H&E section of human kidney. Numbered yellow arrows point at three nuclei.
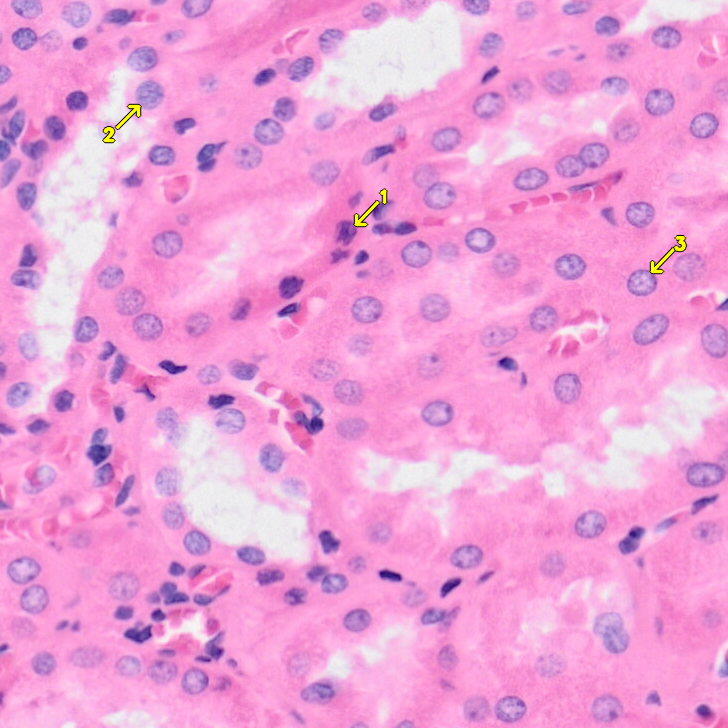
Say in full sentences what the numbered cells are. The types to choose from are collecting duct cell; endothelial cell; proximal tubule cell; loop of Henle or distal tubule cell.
Cells 1 and 3 are proximal tubule cells. Cell 2 is a loop of Henle or distal tubule cell.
